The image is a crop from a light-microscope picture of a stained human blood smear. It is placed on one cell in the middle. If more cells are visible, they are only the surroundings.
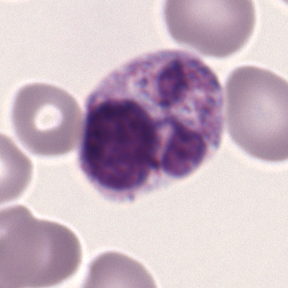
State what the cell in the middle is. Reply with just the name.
basophil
